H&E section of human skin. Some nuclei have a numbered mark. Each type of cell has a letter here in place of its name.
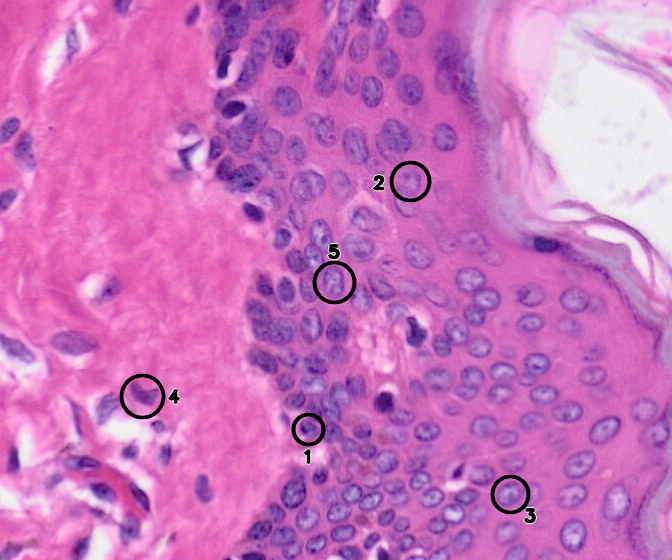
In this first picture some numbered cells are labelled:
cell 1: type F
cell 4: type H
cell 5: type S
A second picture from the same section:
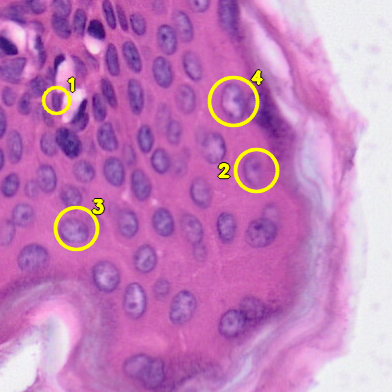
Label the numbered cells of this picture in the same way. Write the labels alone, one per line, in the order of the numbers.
type F
type S
type S
type S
